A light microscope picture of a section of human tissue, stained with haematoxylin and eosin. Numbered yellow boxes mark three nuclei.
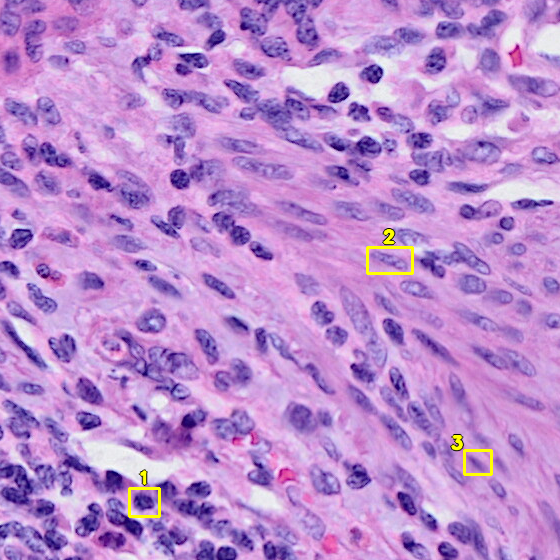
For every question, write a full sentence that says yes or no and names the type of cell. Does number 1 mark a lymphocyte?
Yes, number 1 in this section denotes a lymphocyte.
